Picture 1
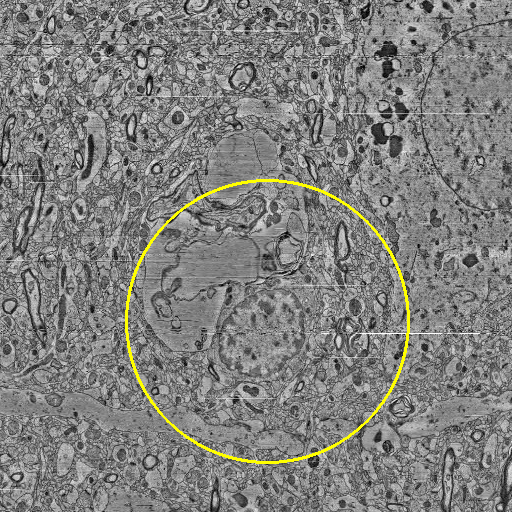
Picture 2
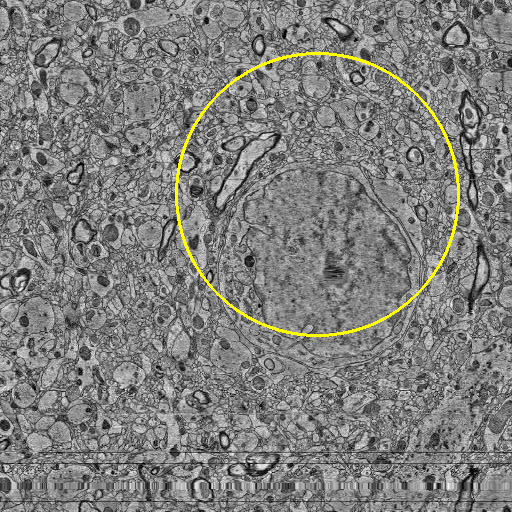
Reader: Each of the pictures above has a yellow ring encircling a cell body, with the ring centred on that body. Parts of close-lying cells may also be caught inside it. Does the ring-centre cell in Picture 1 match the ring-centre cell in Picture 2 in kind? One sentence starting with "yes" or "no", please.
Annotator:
No, Picture 1 and Picture 2 show ring-centre cells of two kinds.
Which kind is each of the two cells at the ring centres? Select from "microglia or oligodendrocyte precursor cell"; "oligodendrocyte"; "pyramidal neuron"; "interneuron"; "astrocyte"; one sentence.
The cell at the centre of the ring is an oligodendrocyte in the first picture and an interneuron in the second.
